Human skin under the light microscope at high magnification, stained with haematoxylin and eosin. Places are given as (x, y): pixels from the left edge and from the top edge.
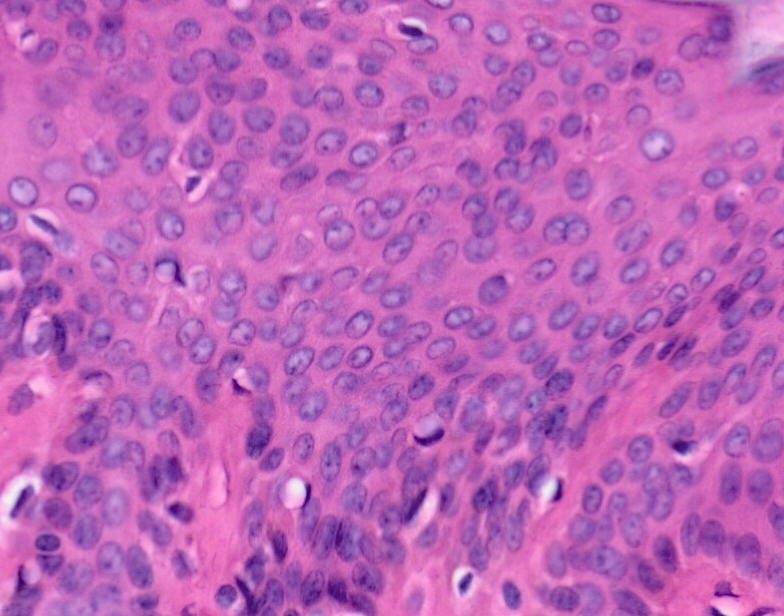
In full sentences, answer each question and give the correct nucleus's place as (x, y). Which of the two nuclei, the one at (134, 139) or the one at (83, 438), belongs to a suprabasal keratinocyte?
The nucleus positioned at (134, 139) forms part of a suprabasal keratinocyte.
